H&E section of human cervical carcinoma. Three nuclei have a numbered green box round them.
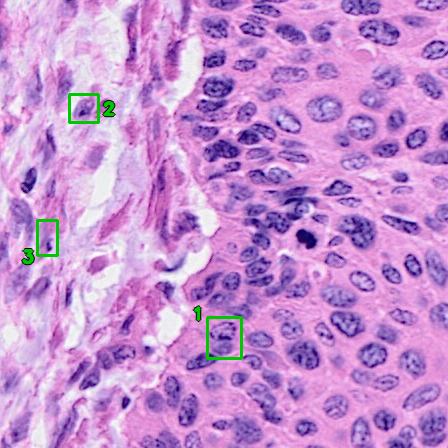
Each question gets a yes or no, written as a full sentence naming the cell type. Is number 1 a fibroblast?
No, number 1 is not a fibroblast; it is a squamous carcinoma cell.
